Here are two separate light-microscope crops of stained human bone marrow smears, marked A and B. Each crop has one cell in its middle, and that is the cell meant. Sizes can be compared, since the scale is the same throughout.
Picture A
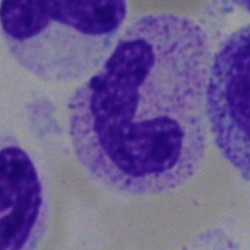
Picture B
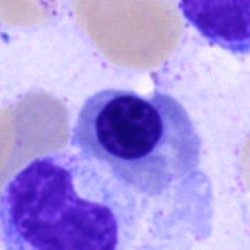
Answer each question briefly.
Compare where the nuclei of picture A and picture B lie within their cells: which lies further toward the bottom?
A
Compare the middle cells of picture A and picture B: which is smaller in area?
B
